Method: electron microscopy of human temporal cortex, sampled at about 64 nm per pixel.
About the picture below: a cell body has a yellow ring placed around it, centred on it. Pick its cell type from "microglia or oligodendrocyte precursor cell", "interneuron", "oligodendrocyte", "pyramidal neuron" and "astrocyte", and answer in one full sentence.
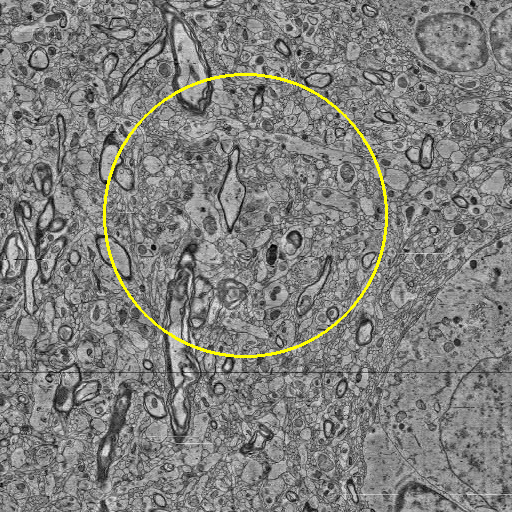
In the picture, a microglial cell or oligodendrocyte precursor cell is the cell sitting at the centre of the yellow ring.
